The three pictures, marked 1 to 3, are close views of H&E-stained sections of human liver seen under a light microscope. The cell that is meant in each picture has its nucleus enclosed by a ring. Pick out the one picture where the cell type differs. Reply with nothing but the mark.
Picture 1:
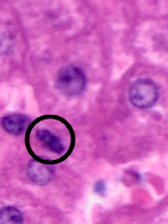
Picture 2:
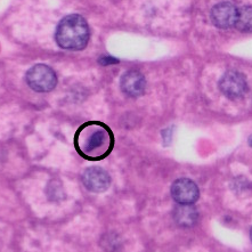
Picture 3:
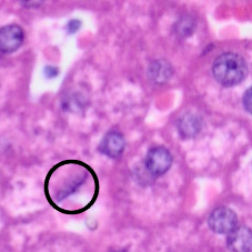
3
